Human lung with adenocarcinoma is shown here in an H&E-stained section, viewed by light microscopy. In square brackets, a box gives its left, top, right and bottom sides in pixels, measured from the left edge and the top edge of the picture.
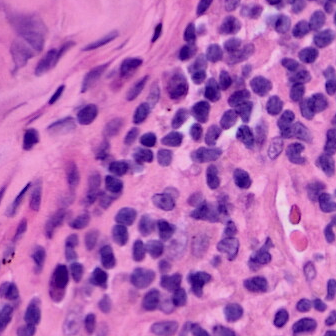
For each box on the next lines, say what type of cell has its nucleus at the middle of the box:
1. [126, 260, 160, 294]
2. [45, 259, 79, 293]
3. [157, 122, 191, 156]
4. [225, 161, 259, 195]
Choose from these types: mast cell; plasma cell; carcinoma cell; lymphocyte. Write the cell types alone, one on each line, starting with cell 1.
lymphocyte
plasma cell
lymphocyte
lymphocyte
